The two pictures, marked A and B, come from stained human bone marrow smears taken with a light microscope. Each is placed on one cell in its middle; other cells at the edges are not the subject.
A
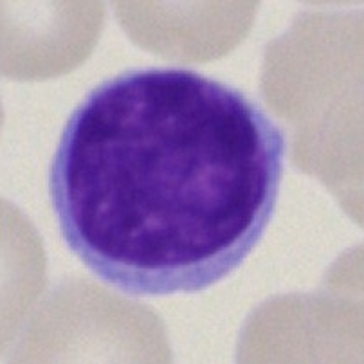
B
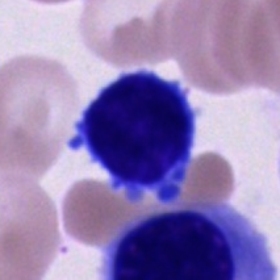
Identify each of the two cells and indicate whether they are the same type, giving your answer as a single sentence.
Yes, it is lymphocytes that occupy the middle of both crops.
